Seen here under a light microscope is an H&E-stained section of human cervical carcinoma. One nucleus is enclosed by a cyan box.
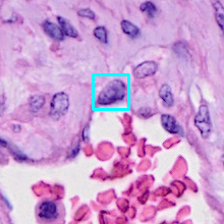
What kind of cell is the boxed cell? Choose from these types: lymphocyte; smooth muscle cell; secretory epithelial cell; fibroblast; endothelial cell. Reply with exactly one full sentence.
In this field of tissue, the boxed cell is an endothelial cell.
